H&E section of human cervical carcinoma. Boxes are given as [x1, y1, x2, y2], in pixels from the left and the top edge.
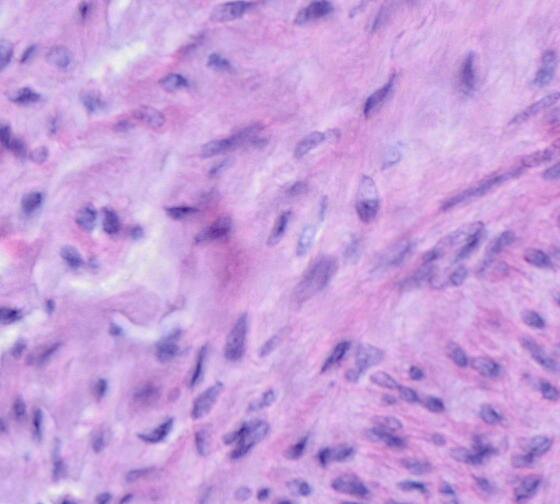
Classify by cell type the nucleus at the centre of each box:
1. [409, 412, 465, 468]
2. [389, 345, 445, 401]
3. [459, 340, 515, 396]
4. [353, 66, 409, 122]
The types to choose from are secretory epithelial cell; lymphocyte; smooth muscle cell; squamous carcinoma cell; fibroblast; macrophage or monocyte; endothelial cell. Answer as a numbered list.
1. smooth muscle cell
2. smooth muscle cell
3. smooth muscle cell
4. fibroblast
